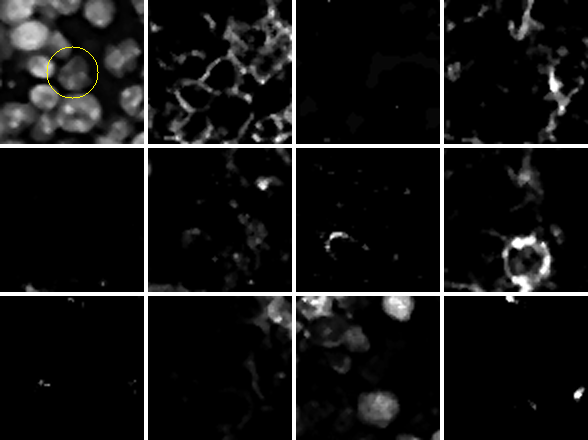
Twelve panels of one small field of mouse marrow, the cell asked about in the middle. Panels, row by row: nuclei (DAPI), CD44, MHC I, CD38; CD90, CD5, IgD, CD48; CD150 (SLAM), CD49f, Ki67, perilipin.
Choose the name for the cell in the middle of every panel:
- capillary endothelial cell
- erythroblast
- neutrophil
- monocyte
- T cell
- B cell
neutrophil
